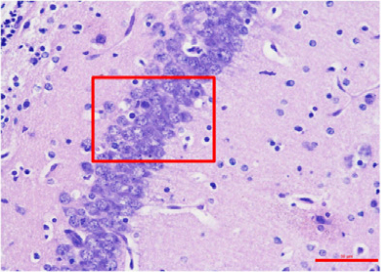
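Hippocampal section with a dense diagonal band of neurons several cells thick. Neuronal cell bodies are closely packed, with round purple nuclei, many showing a distinct dark nucleolus, and a thin rim of purple cytoplasm. On either side lies pale pink, finely fibrillar neuropil containing scattered small dark round nuclei of glial cells and a few small vessels with clear lumens.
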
